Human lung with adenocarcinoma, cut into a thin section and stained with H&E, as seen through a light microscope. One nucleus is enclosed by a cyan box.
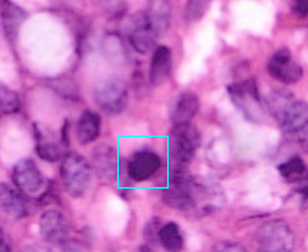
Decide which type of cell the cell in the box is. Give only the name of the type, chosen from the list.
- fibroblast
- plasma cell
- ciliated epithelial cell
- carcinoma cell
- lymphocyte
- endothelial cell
ciliated epithelial cell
